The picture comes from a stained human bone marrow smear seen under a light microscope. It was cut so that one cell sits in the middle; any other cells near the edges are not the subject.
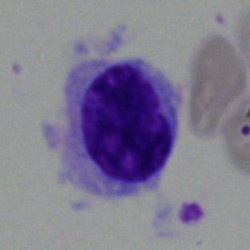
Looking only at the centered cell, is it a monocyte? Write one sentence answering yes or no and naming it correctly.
No, the cell in the middle is not a monocyte but a hairy cell.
